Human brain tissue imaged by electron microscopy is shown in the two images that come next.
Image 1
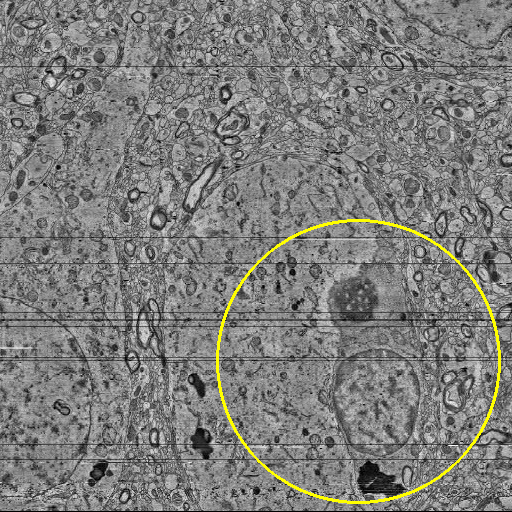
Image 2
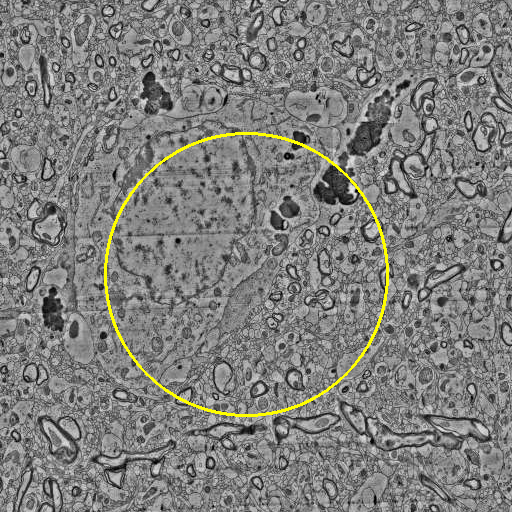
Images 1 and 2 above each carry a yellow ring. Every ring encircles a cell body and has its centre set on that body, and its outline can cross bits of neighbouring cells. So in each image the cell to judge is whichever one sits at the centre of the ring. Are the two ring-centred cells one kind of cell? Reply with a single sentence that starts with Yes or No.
Yes, in Image 1 and Image 2 the cells at the centres of their rings fall into one type.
